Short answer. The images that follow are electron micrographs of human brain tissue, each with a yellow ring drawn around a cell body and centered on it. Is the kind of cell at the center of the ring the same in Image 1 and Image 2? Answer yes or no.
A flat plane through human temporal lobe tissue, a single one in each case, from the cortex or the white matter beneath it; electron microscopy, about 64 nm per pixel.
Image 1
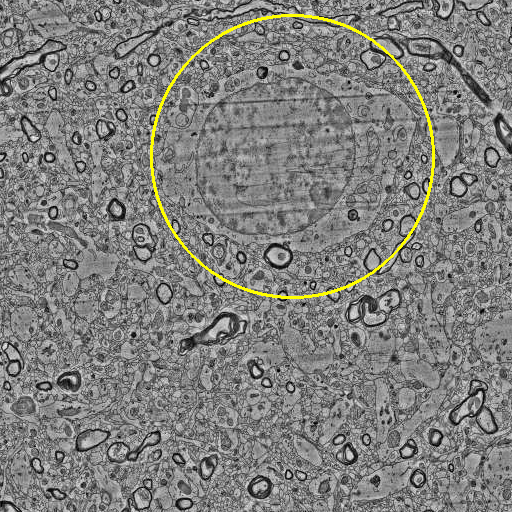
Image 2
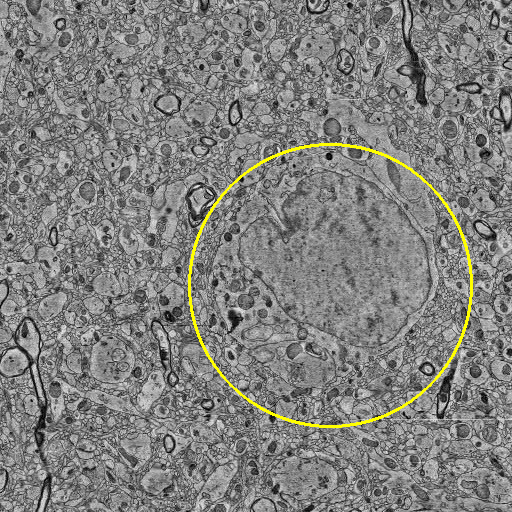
yes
